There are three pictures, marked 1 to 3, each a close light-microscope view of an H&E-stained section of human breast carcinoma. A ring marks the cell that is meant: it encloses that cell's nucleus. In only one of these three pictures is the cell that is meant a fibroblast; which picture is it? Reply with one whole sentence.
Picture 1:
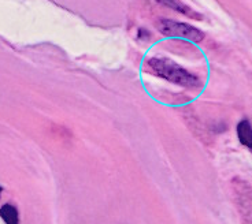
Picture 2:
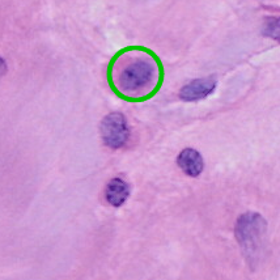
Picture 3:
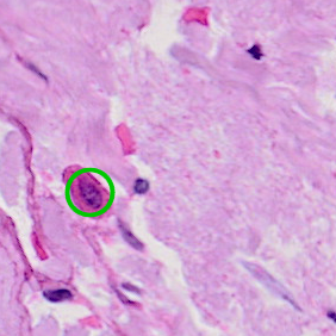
The fibroblast is the one in picture 1.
